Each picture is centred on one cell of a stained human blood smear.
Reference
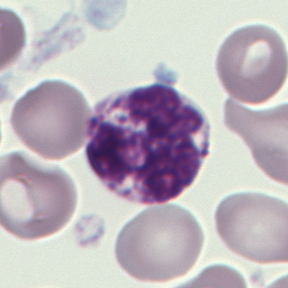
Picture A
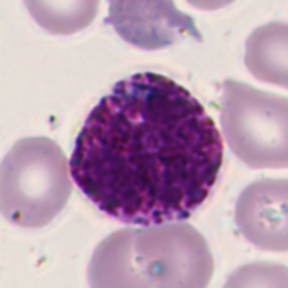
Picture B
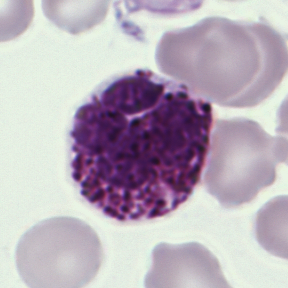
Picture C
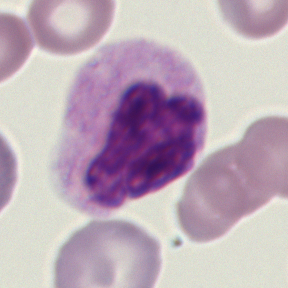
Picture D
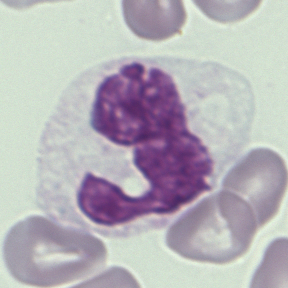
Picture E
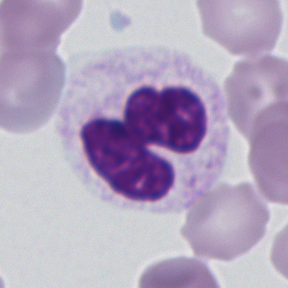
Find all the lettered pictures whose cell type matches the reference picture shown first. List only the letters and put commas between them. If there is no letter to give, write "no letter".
A, B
